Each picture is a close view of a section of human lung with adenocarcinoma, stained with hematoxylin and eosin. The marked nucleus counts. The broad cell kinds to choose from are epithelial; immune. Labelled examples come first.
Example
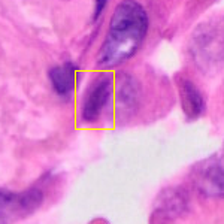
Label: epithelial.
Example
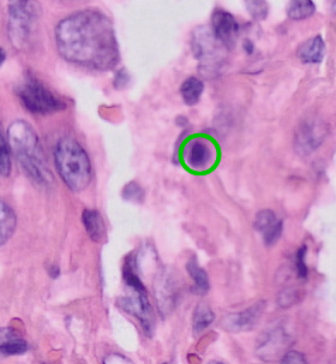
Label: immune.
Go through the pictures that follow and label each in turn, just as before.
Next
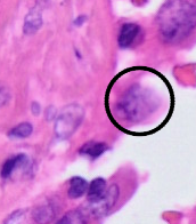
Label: epithelial.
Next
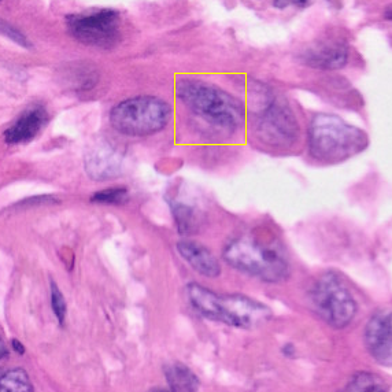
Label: epithelial.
